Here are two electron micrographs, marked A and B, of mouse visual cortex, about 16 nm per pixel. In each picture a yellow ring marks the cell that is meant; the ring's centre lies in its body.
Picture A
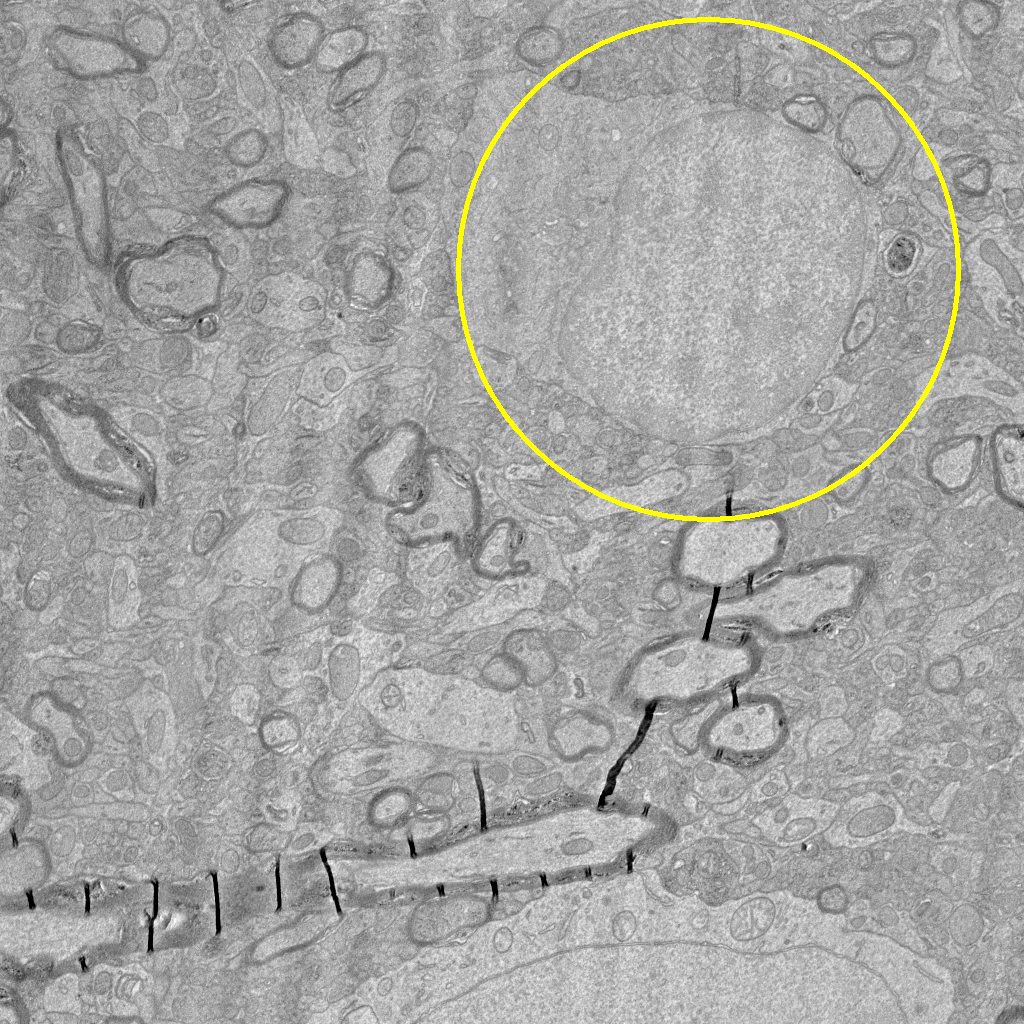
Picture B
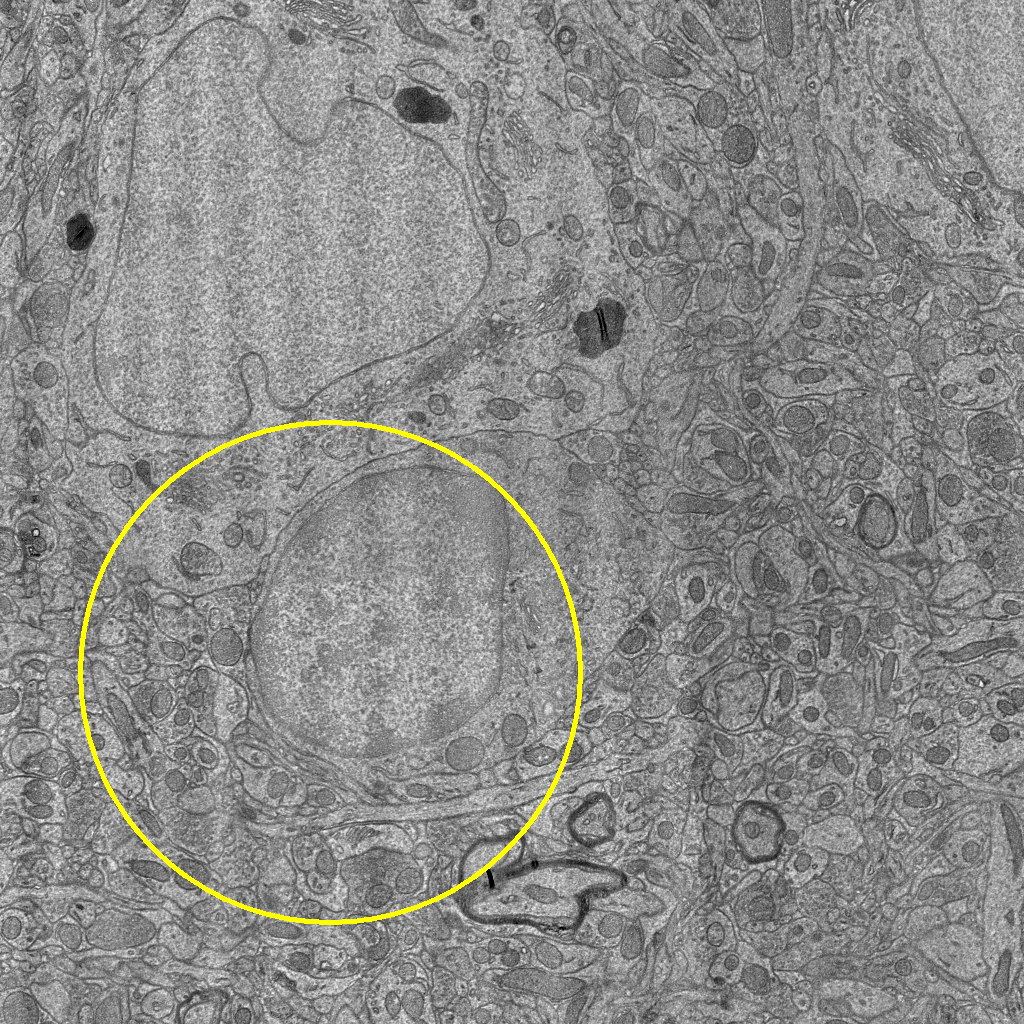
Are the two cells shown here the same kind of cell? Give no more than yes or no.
yes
